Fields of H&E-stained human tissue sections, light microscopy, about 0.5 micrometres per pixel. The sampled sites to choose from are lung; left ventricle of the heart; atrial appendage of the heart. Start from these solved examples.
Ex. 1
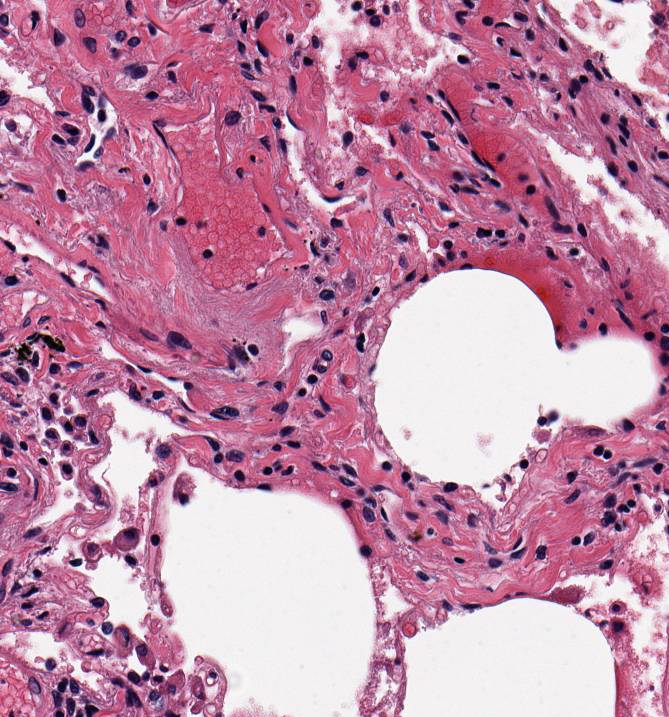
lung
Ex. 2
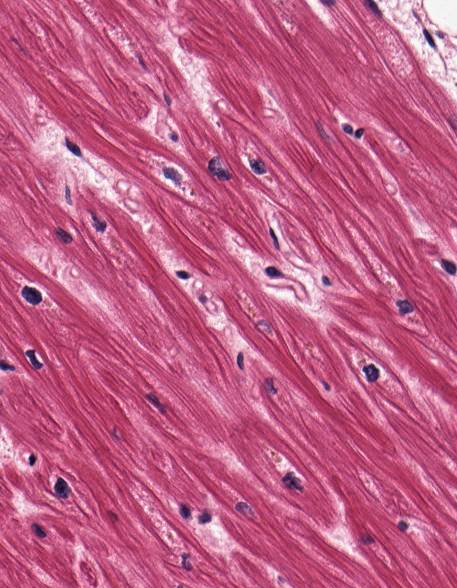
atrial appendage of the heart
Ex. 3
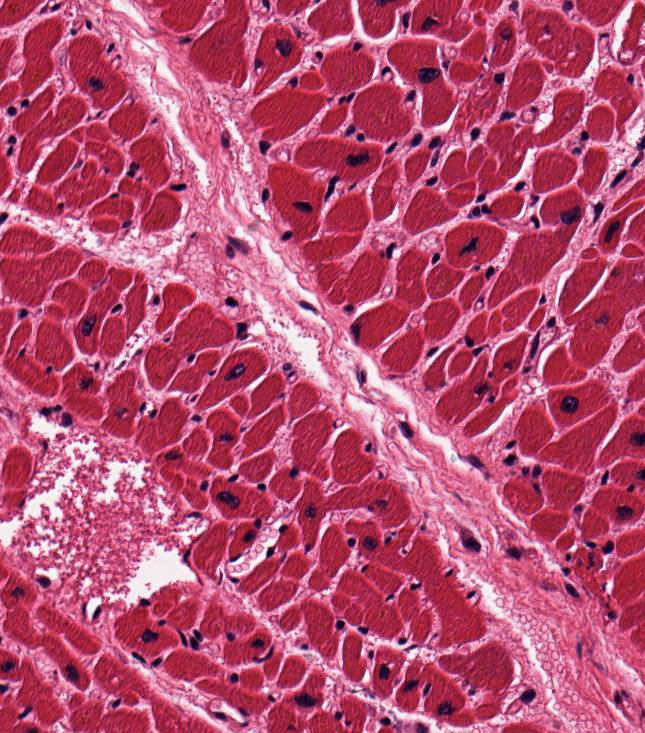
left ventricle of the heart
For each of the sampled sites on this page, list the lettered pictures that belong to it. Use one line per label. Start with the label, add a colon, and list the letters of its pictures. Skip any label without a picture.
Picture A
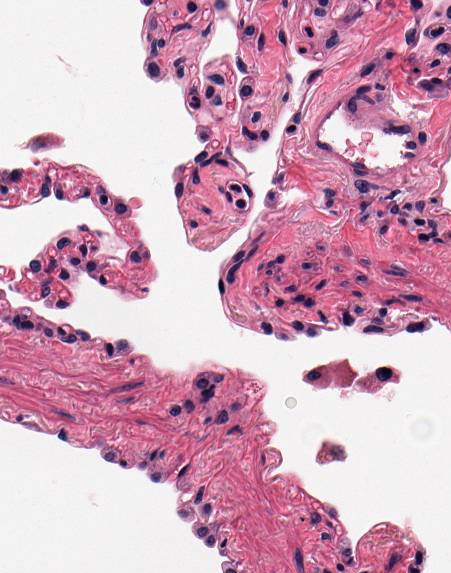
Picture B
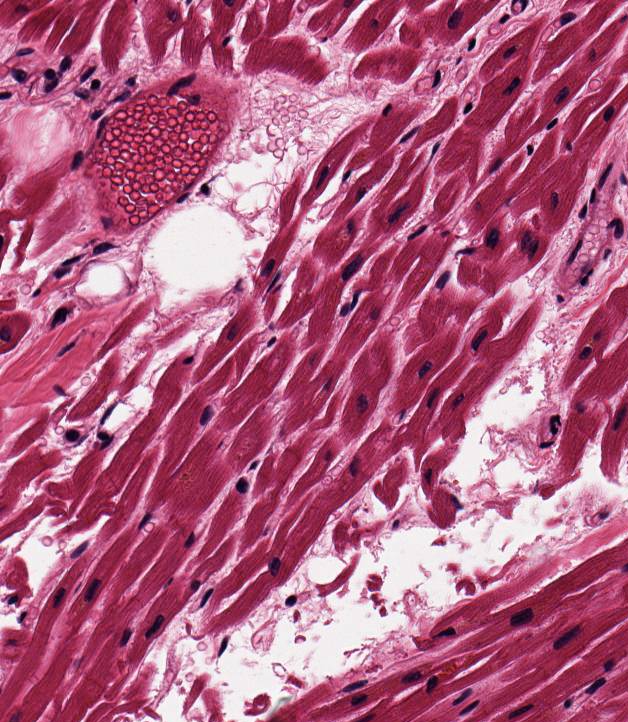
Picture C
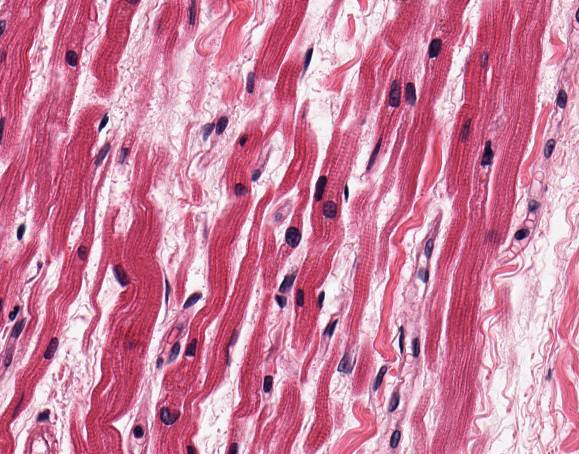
lung: A
left ventricle of the heart: B
atrial appendage of the heart: C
